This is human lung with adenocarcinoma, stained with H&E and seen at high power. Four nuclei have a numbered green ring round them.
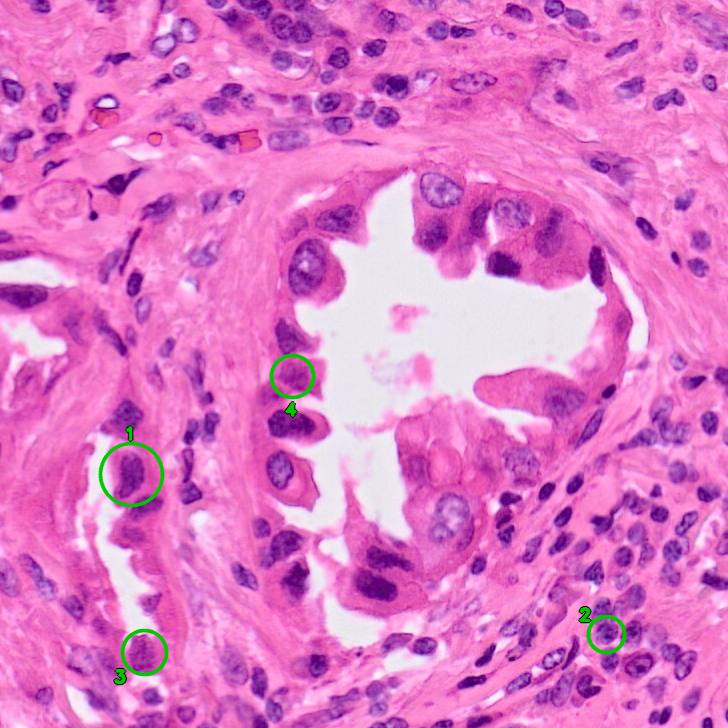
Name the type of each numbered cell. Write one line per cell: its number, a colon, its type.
1: carcinoma cell
2: lymphocyte
3: carcinoma cell
4: carcinoma cell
